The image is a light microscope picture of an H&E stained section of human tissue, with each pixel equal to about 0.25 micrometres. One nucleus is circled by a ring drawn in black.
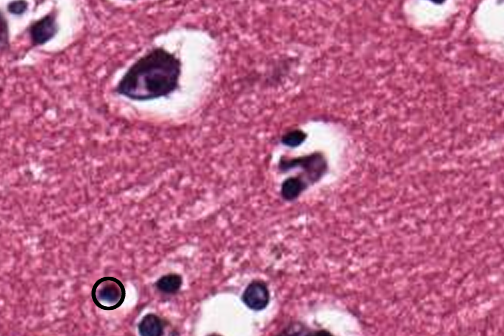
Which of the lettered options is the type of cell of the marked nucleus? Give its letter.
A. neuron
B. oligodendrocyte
B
